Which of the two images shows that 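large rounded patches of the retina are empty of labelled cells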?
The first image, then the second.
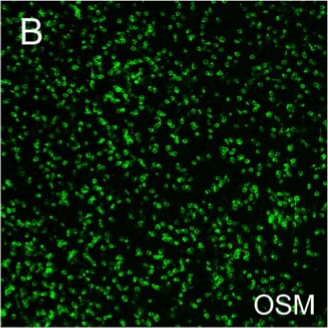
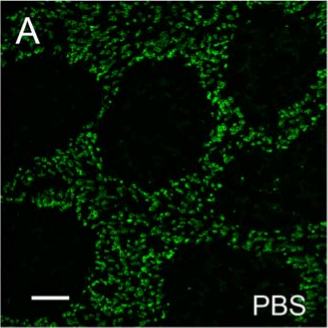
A: The second image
